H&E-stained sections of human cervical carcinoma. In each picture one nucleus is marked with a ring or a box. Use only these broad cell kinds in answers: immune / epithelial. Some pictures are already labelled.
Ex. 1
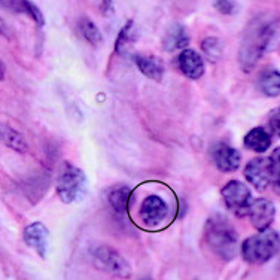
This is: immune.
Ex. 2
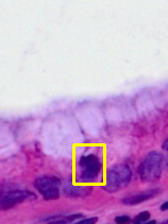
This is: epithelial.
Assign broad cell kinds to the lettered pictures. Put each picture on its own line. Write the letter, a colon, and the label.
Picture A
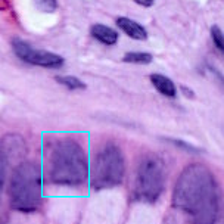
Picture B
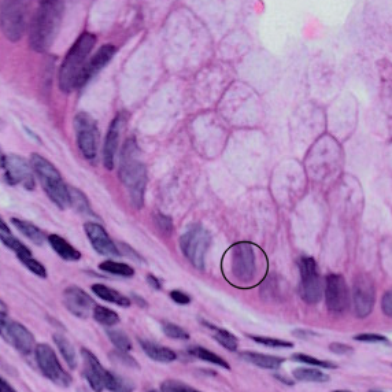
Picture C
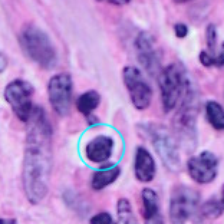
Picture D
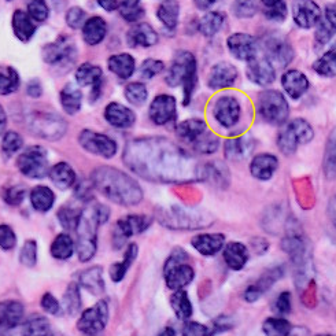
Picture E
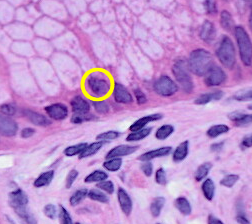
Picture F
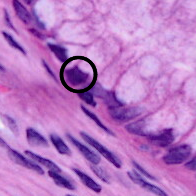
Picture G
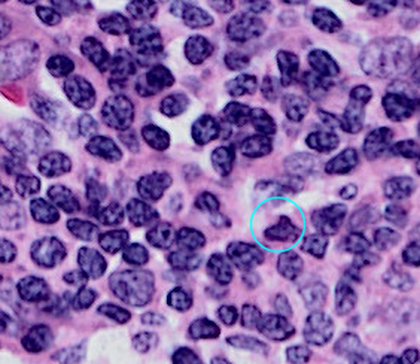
A: epithelial.
B: epithelial.
C: immune.
D: immune.
E: epithelial.
F: epithelial.
G: immune.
